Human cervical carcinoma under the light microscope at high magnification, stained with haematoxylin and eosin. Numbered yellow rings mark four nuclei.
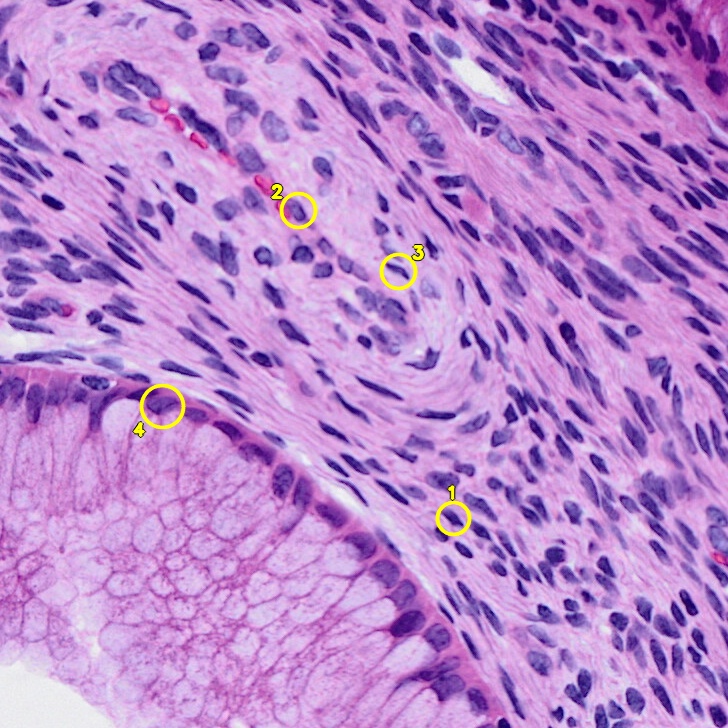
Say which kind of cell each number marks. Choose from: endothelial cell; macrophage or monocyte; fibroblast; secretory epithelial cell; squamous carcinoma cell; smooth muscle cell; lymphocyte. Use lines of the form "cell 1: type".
cell 1: fibroblast
cell 2: endothelial cell
cell 3: fibroblast
cell 4: secretory epithelial cell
